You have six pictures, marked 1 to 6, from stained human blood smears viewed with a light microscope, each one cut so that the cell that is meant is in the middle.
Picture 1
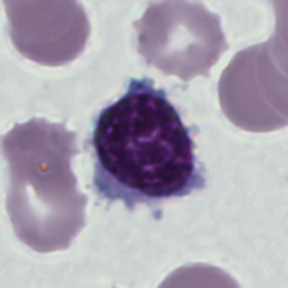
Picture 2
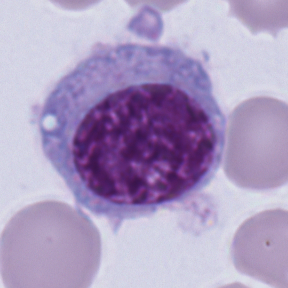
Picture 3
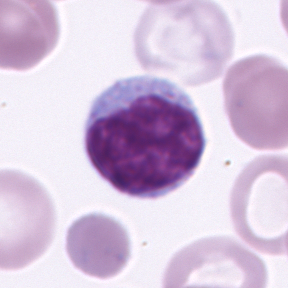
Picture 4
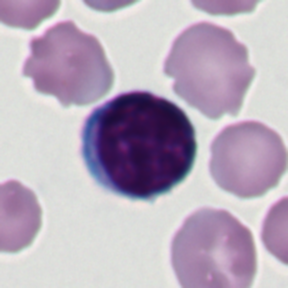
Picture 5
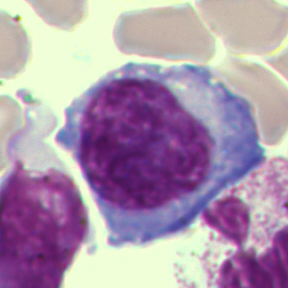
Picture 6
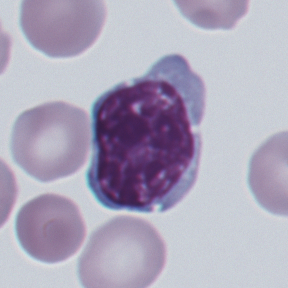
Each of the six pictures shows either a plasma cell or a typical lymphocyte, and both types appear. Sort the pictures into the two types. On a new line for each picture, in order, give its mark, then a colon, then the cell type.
1: plasma cell
2: plasma cell
3: typical lymphocyte
4: typical lymphocyte
5: plasma cell
6: typical lymphocyte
